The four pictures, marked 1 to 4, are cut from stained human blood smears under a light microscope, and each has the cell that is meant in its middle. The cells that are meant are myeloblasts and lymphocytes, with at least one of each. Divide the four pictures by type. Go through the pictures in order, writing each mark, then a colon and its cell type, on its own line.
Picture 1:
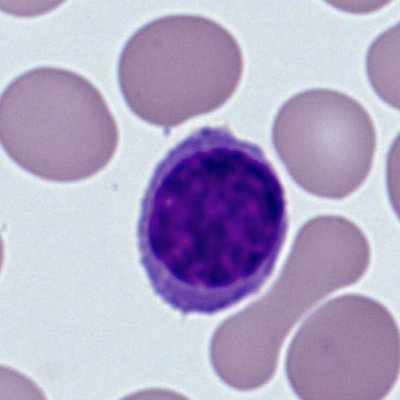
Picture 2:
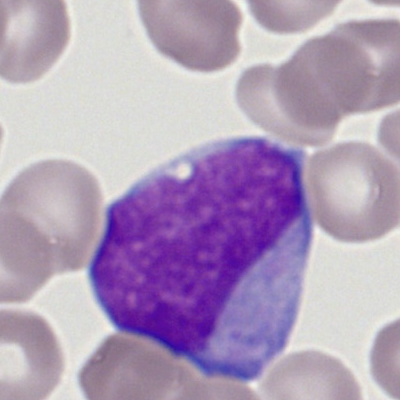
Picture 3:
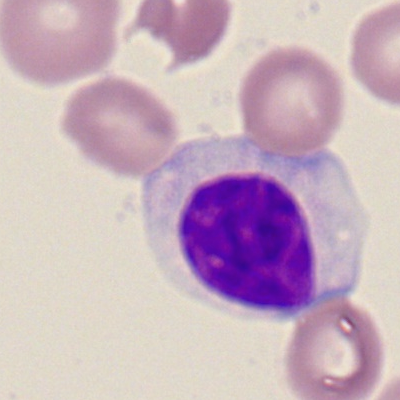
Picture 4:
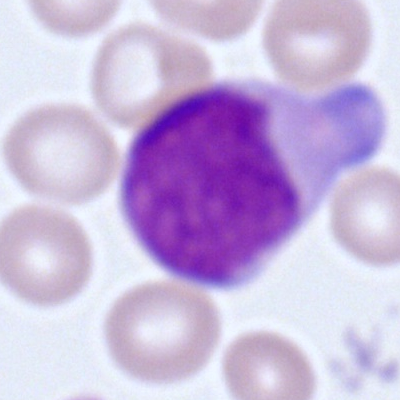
1: lymphocyte
2: myeloblast
3: lymphocyte
4: myeloblast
